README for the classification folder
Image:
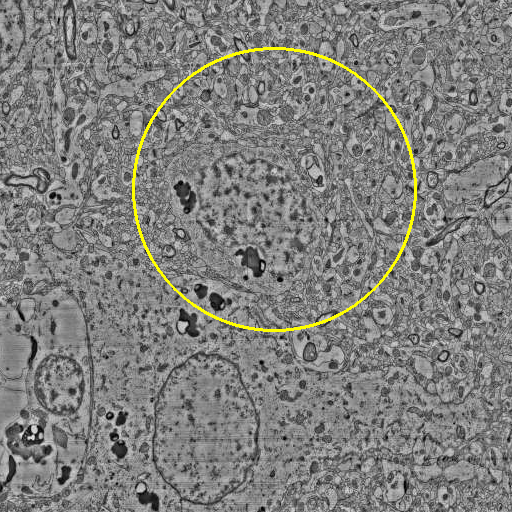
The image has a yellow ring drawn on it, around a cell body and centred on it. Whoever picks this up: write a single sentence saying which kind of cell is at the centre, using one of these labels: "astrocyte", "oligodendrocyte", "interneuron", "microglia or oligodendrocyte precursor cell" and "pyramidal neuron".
This cell body is that of an interneuron.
